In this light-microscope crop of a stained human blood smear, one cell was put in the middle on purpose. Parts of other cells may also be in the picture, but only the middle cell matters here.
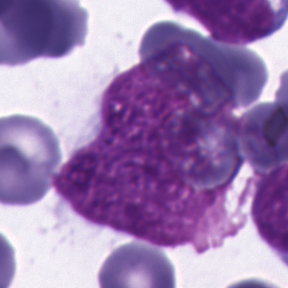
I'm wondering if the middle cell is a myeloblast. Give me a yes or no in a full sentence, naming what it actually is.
No, wrong label: the middle cell is a smudge cell instead of a myeloblast.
